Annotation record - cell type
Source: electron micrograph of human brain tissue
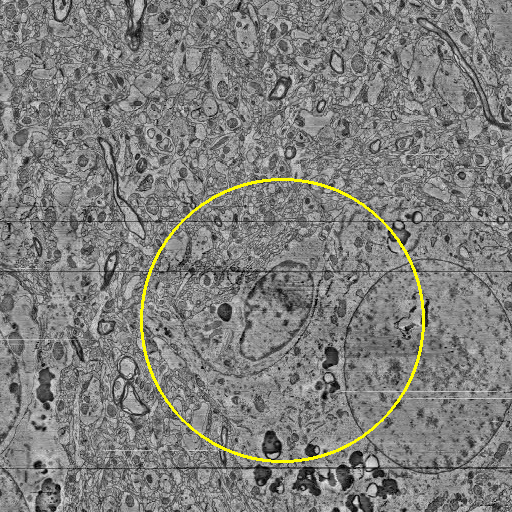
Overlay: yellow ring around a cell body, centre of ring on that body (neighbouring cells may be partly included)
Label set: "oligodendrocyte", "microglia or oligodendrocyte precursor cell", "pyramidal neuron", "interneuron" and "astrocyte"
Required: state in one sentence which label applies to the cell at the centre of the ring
This cell should be labelled as a microglial cell or oligodendrocyte precursor cell.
